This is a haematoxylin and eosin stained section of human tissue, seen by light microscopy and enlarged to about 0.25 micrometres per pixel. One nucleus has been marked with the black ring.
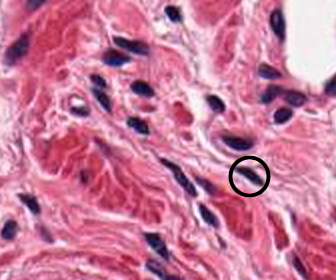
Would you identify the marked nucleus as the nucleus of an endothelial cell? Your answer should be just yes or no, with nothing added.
no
